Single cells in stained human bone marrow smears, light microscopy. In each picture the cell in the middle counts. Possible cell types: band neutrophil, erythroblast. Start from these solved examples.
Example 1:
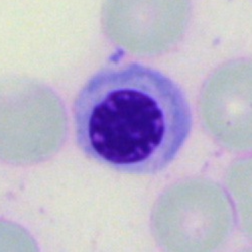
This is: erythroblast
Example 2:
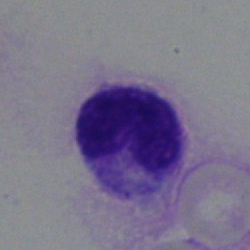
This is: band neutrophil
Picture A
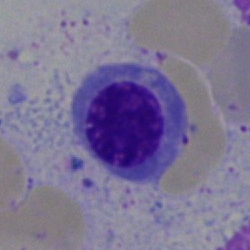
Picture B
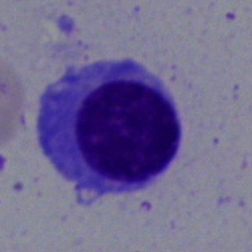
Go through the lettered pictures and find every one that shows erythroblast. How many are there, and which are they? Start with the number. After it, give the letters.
2: A, B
